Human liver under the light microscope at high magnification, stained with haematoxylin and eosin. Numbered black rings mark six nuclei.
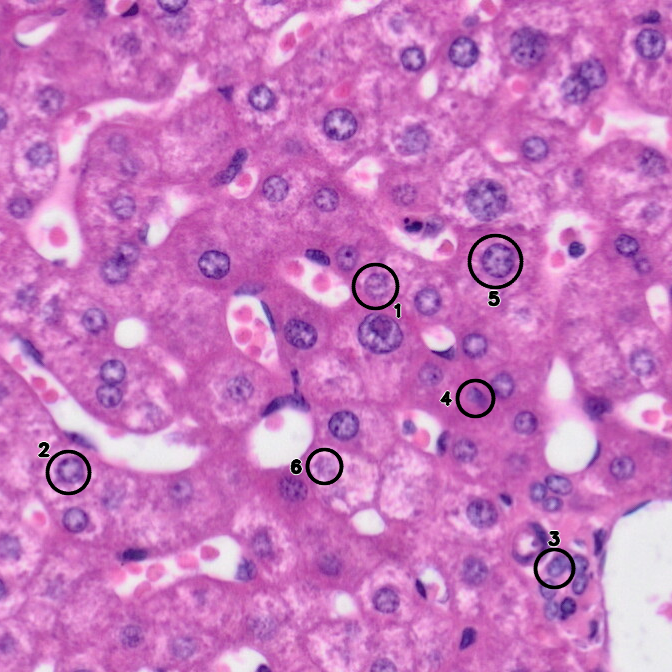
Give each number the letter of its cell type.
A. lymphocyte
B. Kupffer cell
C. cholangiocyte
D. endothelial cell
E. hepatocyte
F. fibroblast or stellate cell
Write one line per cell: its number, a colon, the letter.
1: E
2: E
3: C
4: F
5: E
6: E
